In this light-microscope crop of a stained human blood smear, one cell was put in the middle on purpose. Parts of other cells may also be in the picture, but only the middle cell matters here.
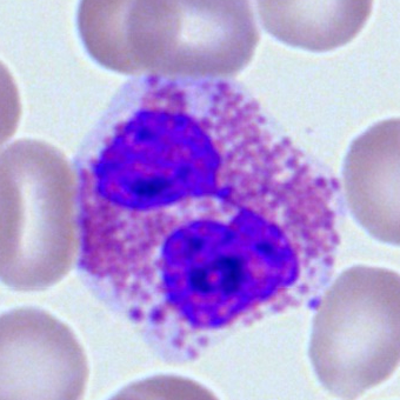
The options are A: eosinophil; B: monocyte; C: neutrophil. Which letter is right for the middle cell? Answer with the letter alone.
A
